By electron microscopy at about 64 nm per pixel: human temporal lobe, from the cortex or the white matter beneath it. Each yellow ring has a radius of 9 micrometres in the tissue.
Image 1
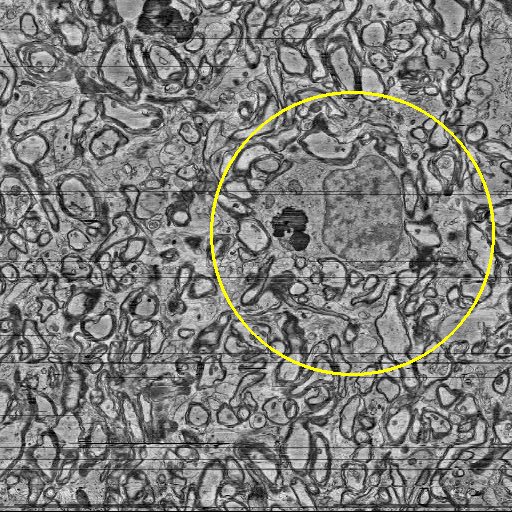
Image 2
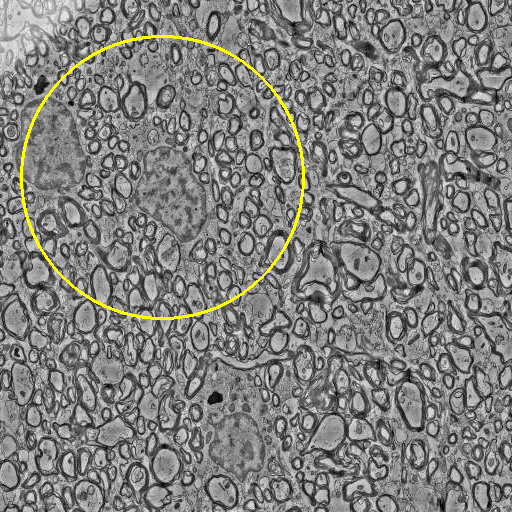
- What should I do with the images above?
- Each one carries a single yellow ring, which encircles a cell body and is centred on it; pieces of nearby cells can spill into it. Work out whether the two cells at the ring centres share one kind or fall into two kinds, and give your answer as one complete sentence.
The ring-centre cells of Image 1 and Image 2 share one kind.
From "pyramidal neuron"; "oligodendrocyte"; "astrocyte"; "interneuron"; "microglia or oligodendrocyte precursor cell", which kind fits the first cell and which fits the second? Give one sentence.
Both the first and the second picture show an oligodendrocyte in the ring.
